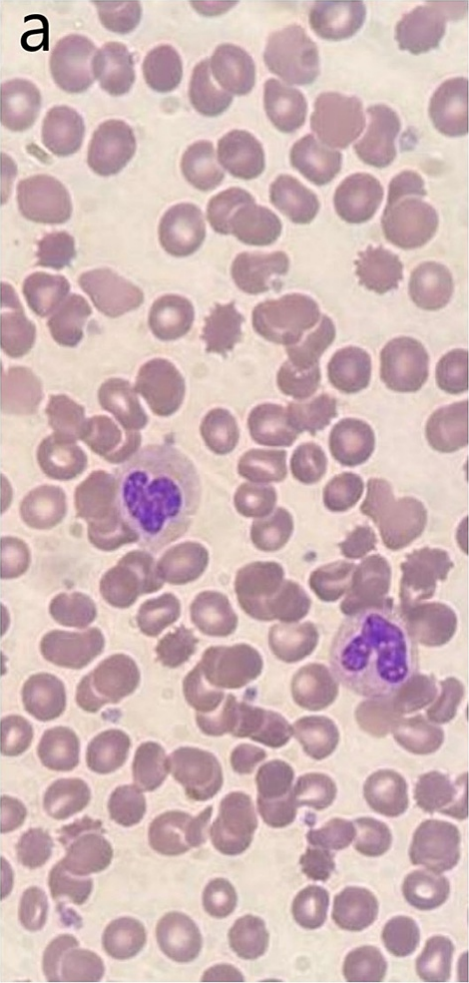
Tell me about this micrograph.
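This is a peripheral blood smear dominated by red blood cells, with two neutrophils near the middle of the field. The red cells are mostly round, pale pink discs with lighter centres, while a number of them are crenated, with short regular spiky projections around their rim. The two white cells each have a purple nucleus divided into several clumped lobes and a pale, faintly granular cytoplasm. A few tiny purple fragments scattered between the red cells are platelets.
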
